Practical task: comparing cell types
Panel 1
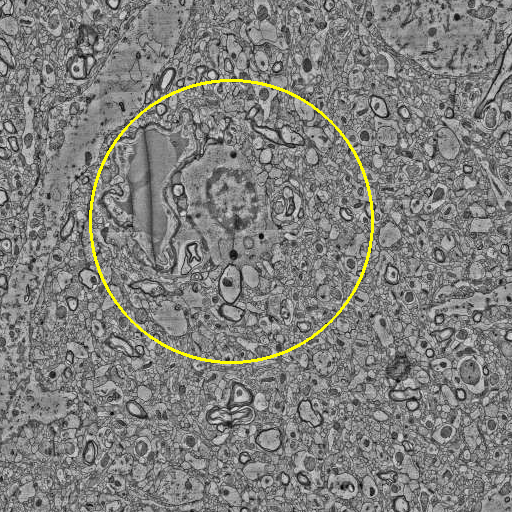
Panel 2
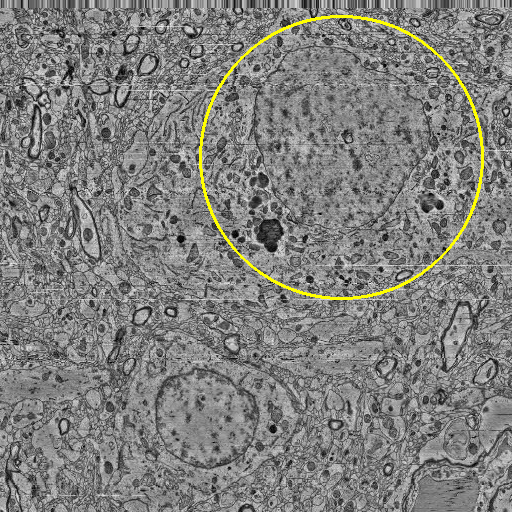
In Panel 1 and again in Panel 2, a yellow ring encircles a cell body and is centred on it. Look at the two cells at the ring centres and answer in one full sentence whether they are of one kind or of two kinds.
The two cells sitting at the ring centres of Panels 1 and 2 are of two kinds.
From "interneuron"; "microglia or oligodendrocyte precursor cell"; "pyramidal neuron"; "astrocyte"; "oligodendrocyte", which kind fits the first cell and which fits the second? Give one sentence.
The cell marked in the first picture is an oligodendrocyte, and the one marked in the second is an interneuron.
